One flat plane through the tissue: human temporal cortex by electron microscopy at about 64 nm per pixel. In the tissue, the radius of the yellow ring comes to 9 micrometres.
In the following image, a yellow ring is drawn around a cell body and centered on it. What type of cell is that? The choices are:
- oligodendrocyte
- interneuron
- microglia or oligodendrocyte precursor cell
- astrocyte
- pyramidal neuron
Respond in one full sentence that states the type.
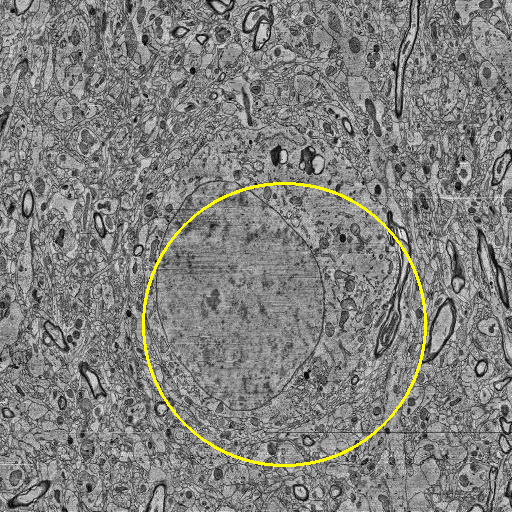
The cell at the center of the yellow ring in the image is a pyramidal neuron.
